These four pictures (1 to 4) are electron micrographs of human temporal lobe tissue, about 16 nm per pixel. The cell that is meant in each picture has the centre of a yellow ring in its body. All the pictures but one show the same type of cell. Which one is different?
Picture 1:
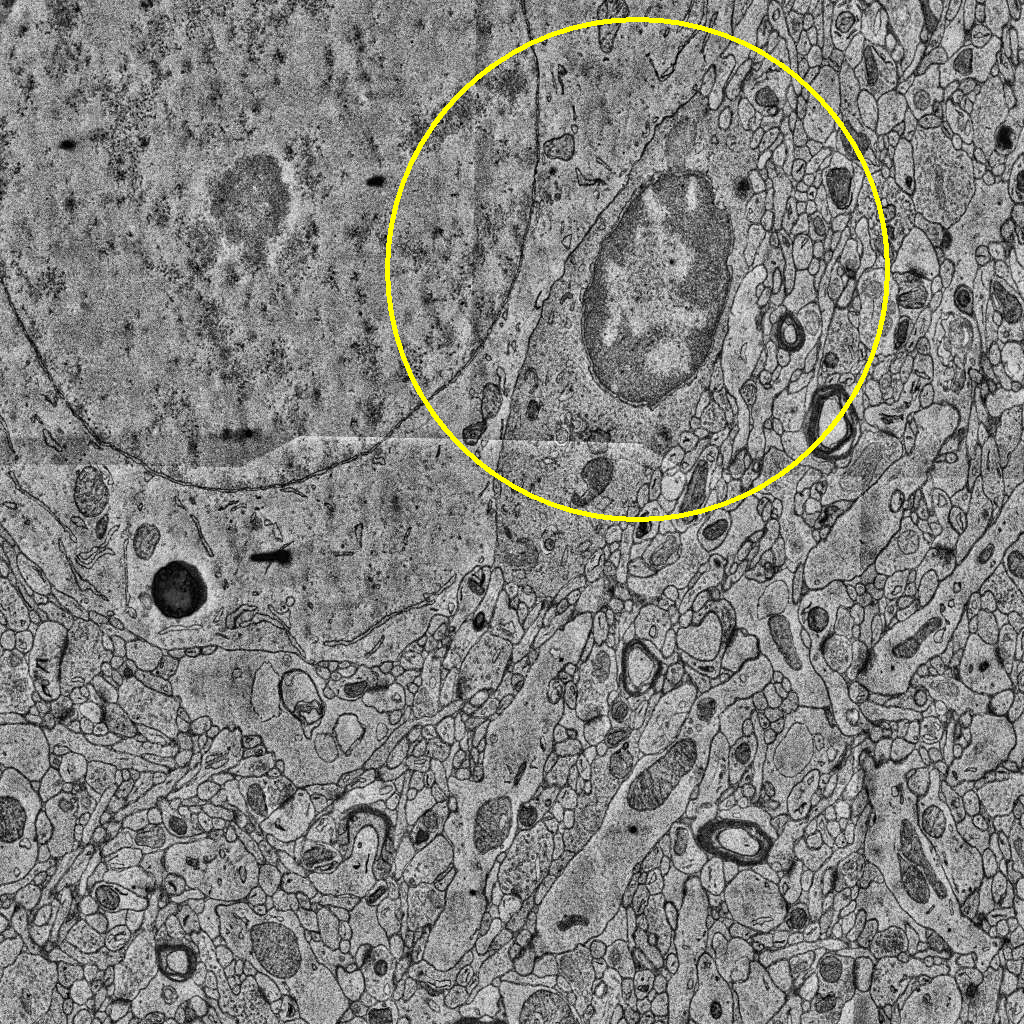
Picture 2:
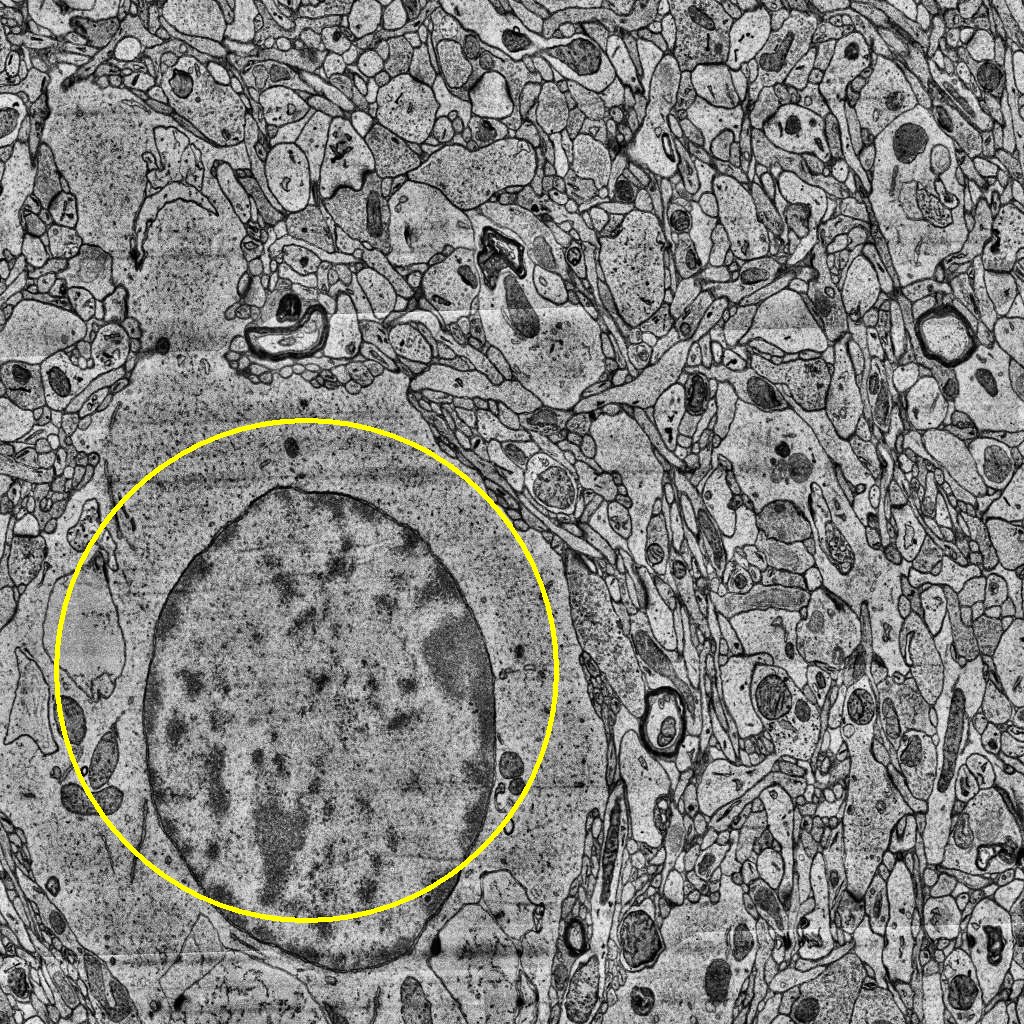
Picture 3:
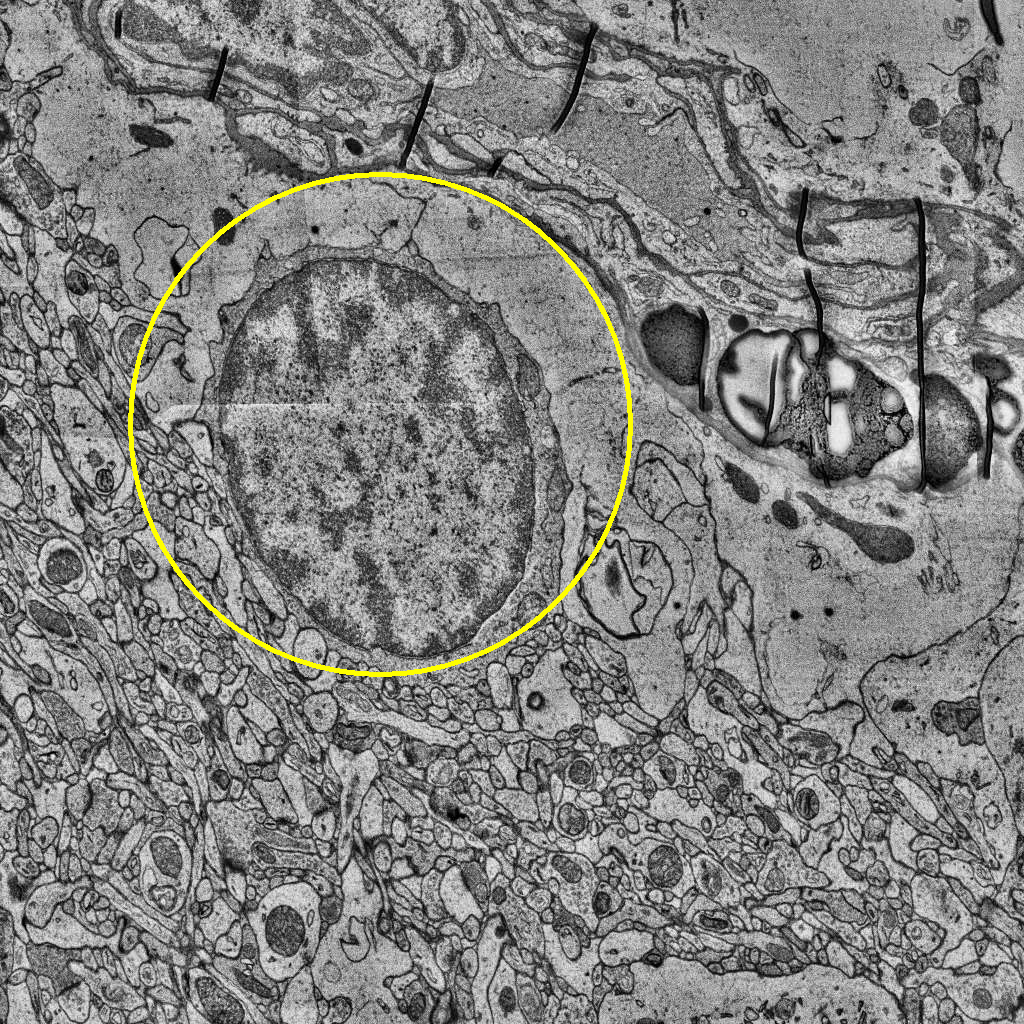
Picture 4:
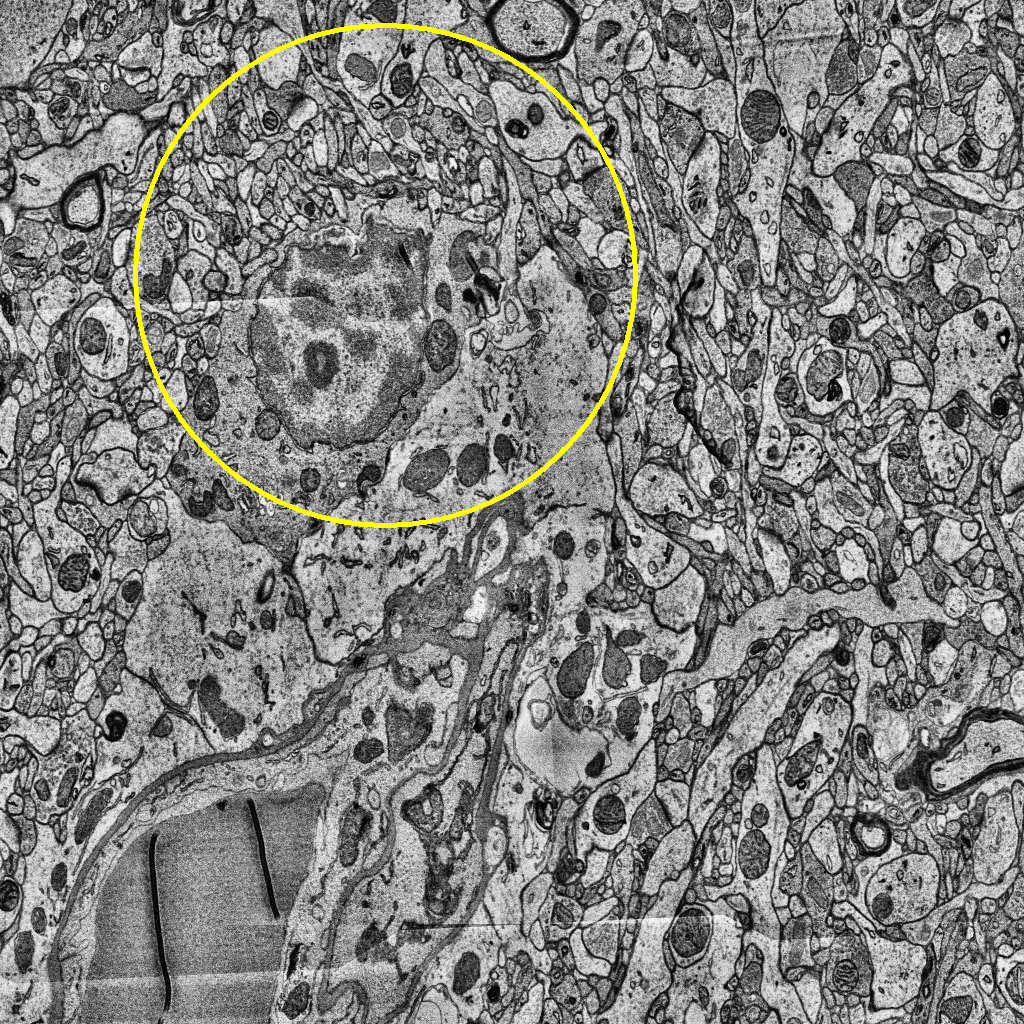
Picture 2 is the odd one out: it shows an astrocyte, while the others show oligodendrocytes.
